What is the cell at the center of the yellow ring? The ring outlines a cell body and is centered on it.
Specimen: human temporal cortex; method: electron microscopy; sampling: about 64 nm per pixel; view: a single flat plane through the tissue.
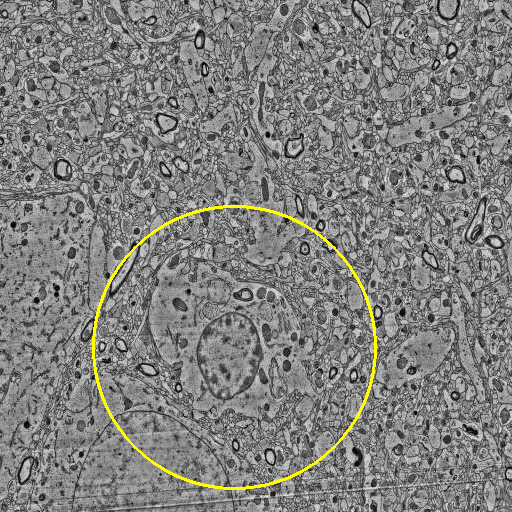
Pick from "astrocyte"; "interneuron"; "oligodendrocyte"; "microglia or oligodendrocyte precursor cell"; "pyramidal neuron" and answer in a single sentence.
The yellow ring is centered on an astrocyte.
